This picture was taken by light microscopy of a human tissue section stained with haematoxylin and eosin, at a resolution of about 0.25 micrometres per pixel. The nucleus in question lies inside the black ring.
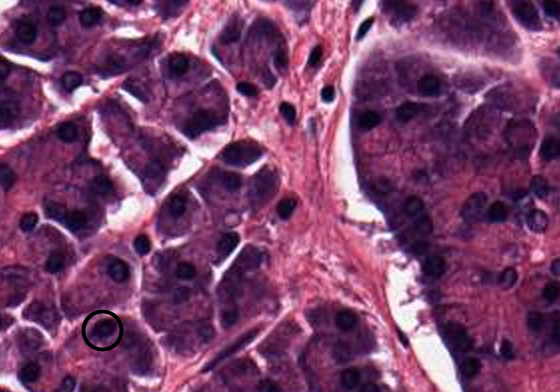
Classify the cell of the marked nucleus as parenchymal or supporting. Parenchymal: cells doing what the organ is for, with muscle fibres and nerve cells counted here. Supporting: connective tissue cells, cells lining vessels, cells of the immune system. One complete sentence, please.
The marked nucleus is attributed to a parenchymal cell, namely a pancreatic acinar cell.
